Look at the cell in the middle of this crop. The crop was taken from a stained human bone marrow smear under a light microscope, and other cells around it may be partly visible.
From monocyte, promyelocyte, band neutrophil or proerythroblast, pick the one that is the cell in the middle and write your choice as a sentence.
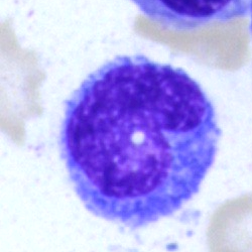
Looking at the middle of the crop, the cell there is a monocyte.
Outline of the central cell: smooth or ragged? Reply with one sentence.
The margin of this cell is irregular, showing raggedness or projections instead of smoothness.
